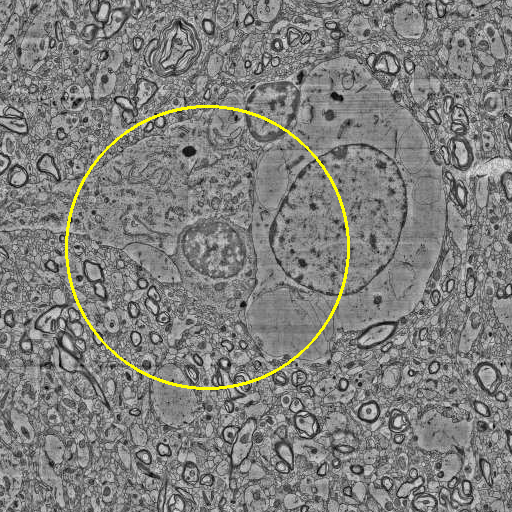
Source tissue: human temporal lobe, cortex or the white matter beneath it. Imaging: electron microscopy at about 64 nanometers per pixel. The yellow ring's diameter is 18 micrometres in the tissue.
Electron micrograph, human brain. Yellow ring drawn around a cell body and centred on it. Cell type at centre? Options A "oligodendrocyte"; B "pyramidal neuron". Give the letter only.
A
